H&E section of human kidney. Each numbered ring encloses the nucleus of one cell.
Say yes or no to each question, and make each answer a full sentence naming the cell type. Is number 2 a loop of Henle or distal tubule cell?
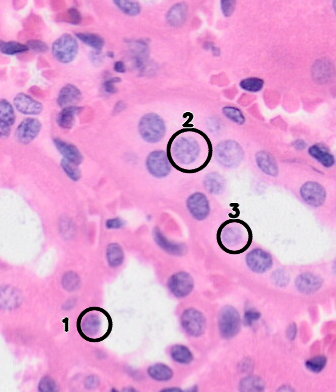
No, number 2 points to a collecting duct cell and not to a loop of Henle or distal tubule cell.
